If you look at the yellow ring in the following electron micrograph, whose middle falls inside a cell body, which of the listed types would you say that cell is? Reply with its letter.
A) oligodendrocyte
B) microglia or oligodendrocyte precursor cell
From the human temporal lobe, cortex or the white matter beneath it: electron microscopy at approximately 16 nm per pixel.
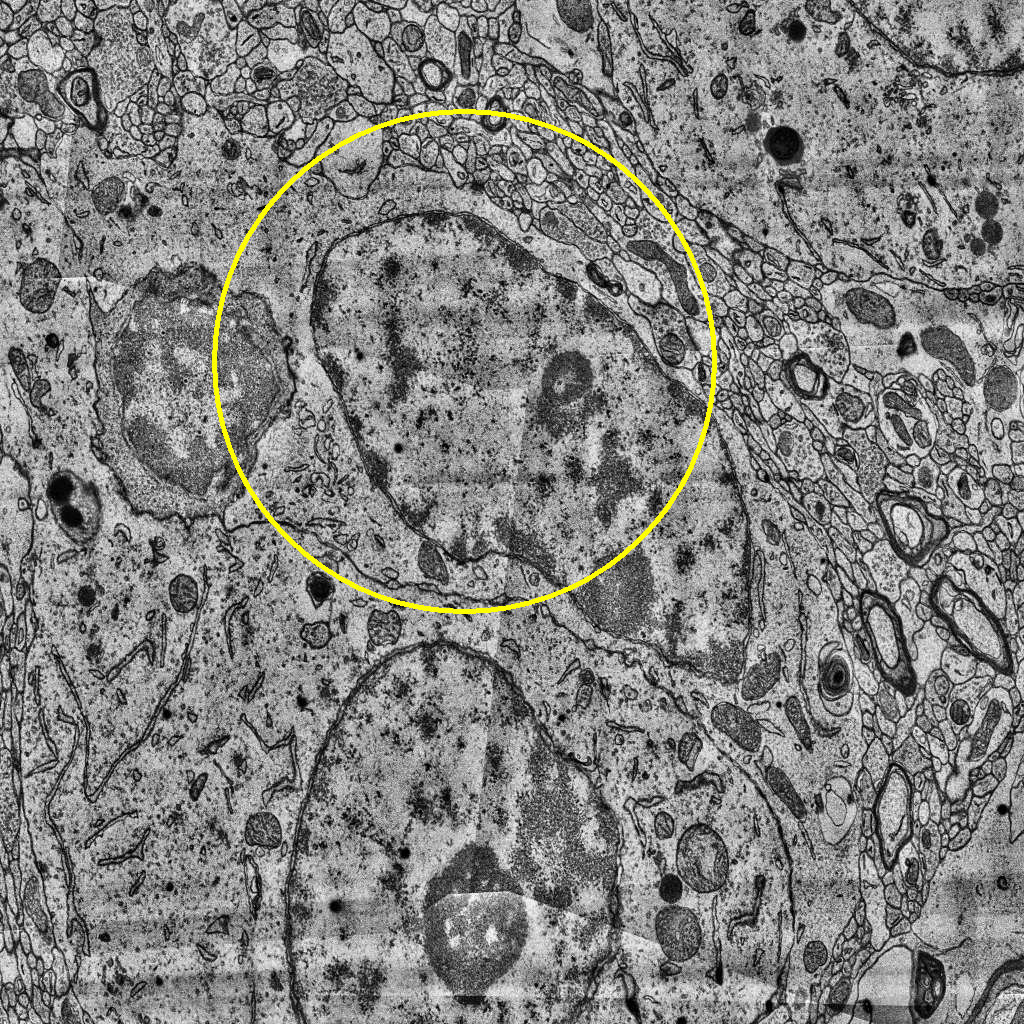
B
